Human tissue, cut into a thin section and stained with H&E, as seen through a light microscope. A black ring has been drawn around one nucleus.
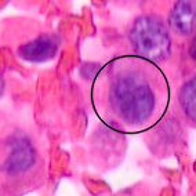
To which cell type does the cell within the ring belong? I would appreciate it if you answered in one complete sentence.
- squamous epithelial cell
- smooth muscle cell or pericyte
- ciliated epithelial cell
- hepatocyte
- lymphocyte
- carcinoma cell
In the context of this tissue, the cell within the ring is a carcinoma cell.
